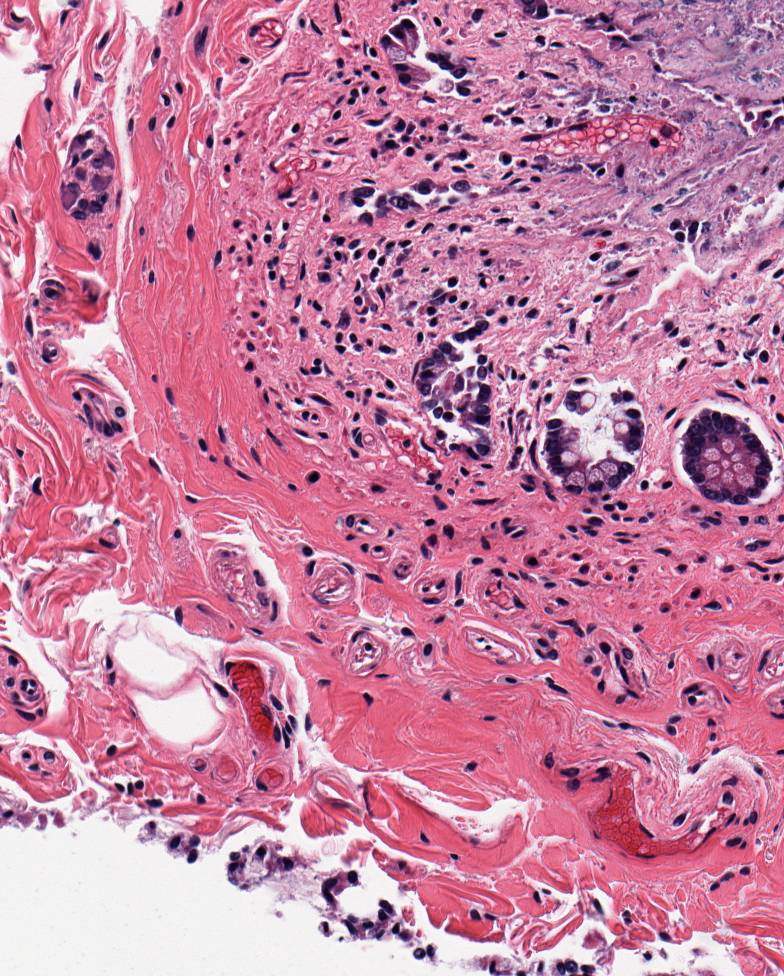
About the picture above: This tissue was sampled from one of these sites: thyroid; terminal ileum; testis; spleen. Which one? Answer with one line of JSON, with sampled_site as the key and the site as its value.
{"sampled_site": "terminal ileum"}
